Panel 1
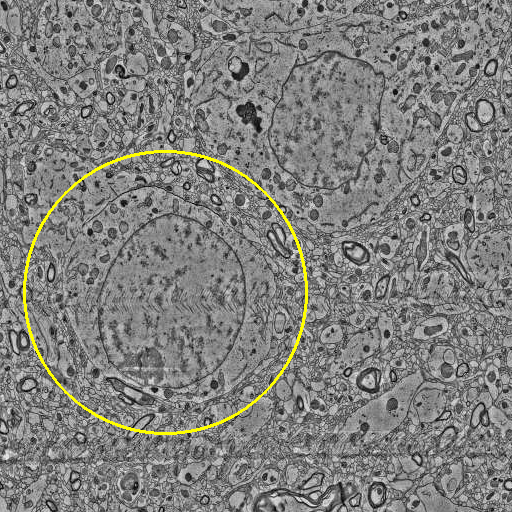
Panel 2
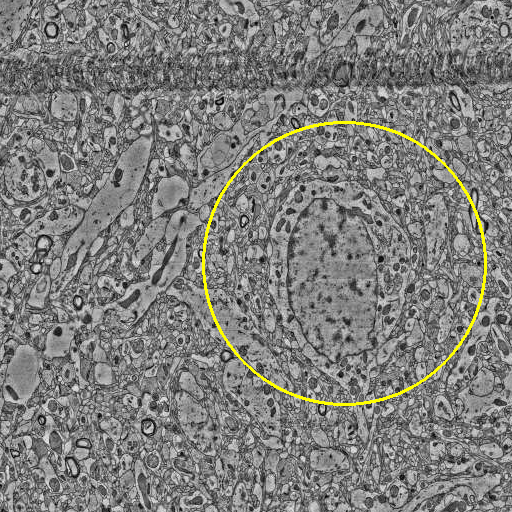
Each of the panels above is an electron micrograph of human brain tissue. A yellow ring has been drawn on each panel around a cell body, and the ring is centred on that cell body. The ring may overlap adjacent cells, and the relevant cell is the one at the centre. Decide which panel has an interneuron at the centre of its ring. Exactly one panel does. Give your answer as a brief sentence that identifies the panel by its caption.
Panel 2 is the one with it at the centre of the ring.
